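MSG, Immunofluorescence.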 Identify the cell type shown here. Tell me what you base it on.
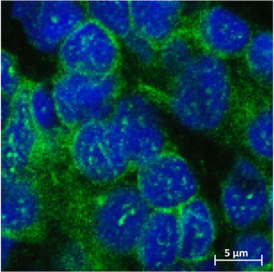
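Tightly packed round cells with large round blue nuclei. Only a thin rim of green cytoplasm around each nucleus. So: lymphocytes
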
